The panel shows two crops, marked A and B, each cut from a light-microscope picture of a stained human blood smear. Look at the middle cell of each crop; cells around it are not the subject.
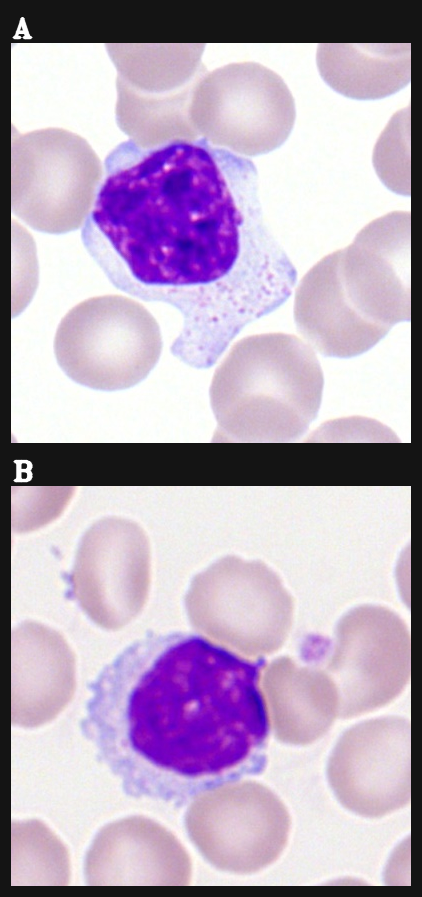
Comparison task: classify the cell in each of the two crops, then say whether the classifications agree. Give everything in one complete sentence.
Yes, both crops in the pair show lymphocytes.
